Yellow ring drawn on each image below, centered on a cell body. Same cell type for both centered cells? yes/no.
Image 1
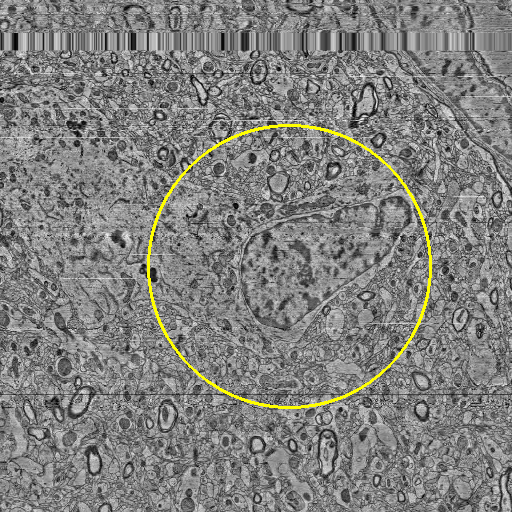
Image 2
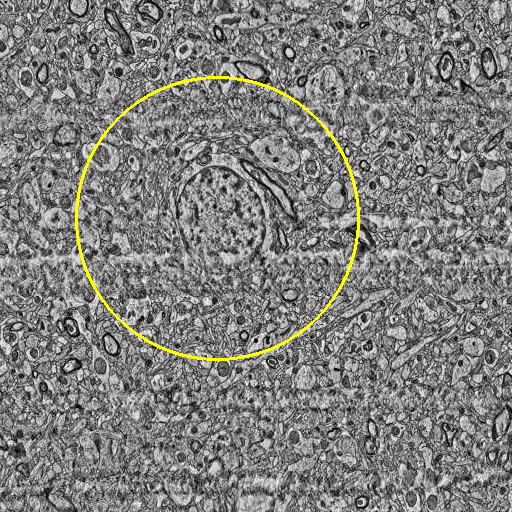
yes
